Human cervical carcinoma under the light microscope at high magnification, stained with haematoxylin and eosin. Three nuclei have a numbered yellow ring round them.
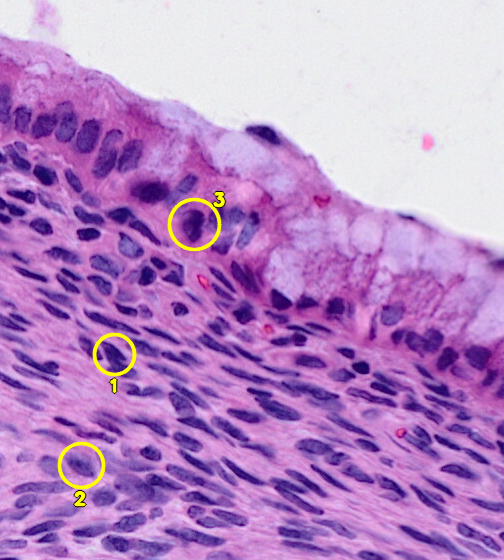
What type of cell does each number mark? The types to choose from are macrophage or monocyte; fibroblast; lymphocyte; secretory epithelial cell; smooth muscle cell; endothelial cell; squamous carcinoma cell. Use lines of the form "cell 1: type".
cell 1: fibroblast
cell 2: fibroblast
cell 3: secretory epithelial cell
